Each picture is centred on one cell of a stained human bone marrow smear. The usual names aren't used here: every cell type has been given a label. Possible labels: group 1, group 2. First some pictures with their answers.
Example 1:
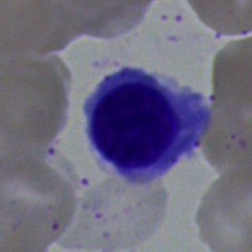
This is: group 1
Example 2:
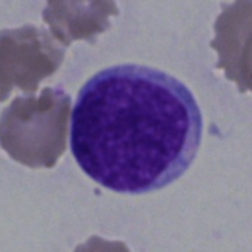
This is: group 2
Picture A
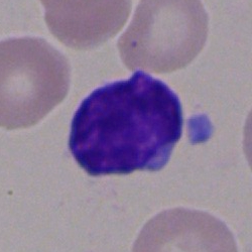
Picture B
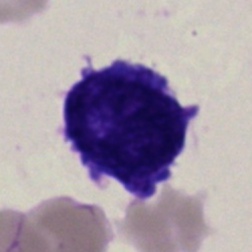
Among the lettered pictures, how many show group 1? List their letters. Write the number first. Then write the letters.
0, none of them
